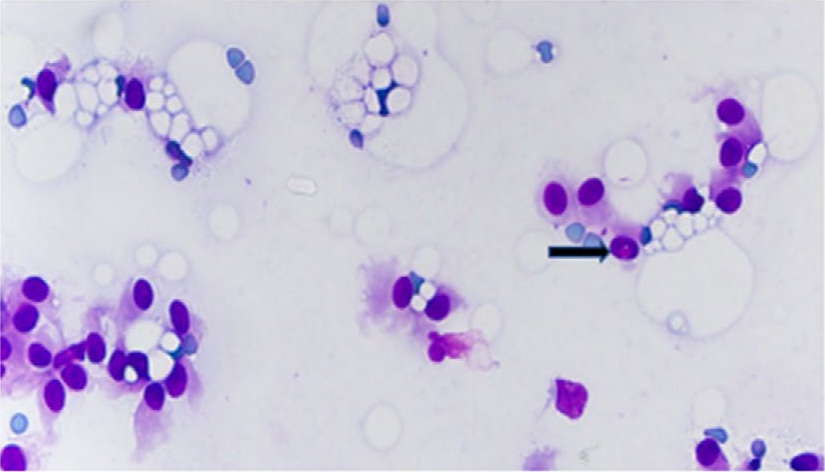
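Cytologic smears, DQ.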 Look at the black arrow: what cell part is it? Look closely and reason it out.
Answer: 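Intranuclear pseudoinclusion. The arrow points to a single oval purple nucleus within a small cell group. The marked nucleus has a paler rounded area within it.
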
